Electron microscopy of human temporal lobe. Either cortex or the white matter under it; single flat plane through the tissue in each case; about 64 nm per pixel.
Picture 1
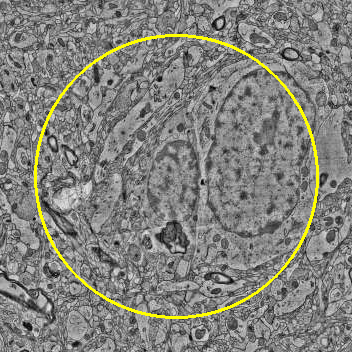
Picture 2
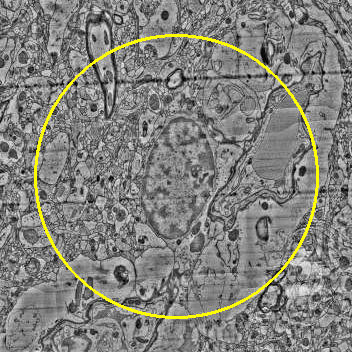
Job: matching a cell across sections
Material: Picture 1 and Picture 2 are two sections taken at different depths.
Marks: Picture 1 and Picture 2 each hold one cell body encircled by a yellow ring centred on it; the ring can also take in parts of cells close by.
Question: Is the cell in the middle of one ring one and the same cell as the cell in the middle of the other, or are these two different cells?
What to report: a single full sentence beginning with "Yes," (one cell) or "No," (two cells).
No, these two rings belong to two distinct cells.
